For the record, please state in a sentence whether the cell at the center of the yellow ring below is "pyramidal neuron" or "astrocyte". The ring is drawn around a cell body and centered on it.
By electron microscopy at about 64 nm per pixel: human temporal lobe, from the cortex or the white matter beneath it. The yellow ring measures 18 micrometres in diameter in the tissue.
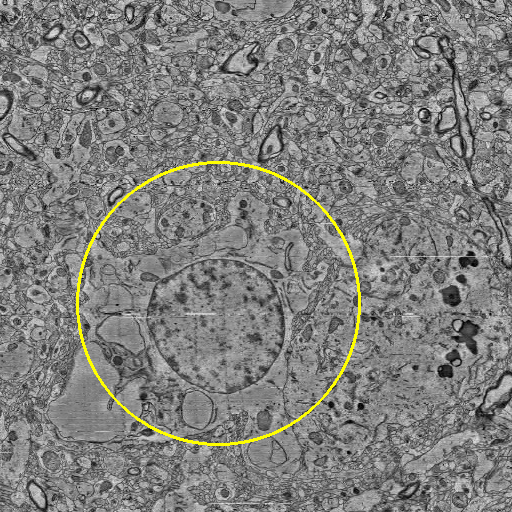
The cell at the ring's center is an astrocyte.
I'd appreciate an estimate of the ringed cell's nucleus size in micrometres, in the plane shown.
Approximately 9 micrometres across in this plane.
